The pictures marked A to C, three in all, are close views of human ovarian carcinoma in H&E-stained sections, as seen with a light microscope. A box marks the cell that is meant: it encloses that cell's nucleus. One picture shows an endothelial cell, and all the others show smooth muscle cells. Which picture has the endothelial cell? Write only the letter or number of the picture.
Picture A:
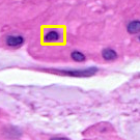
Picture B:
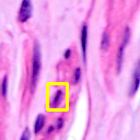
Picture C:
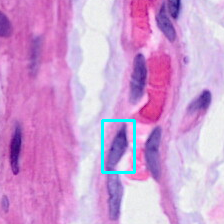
C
